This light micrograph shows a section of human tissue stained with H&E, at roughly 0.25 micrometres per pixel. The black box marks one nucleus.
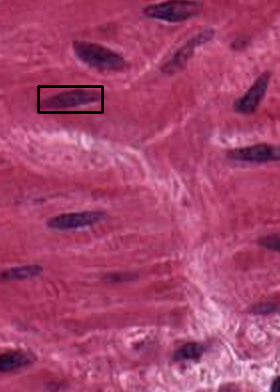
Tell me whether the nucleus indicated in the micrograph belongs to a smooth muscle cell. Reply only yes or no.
yes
